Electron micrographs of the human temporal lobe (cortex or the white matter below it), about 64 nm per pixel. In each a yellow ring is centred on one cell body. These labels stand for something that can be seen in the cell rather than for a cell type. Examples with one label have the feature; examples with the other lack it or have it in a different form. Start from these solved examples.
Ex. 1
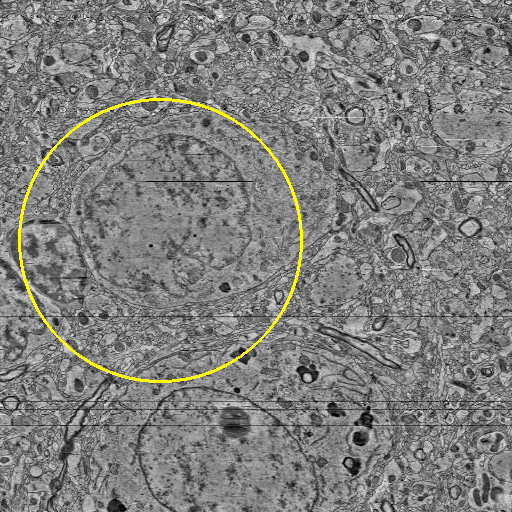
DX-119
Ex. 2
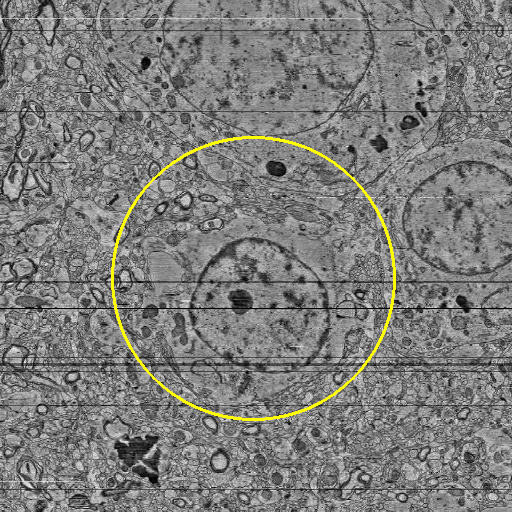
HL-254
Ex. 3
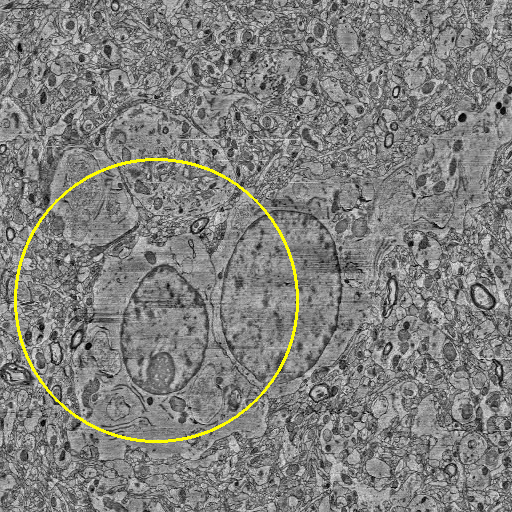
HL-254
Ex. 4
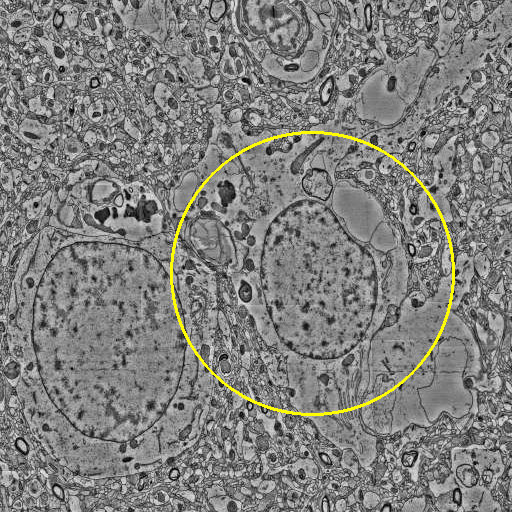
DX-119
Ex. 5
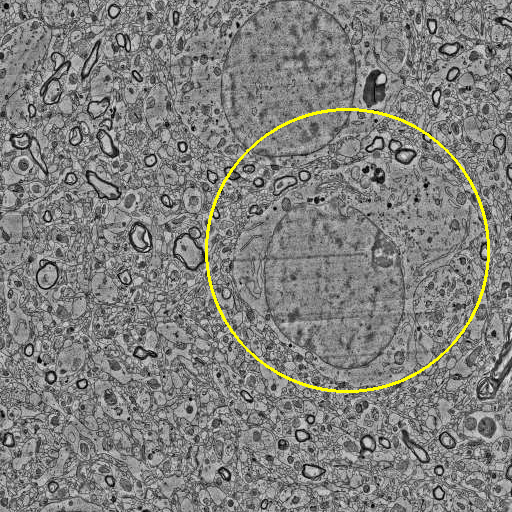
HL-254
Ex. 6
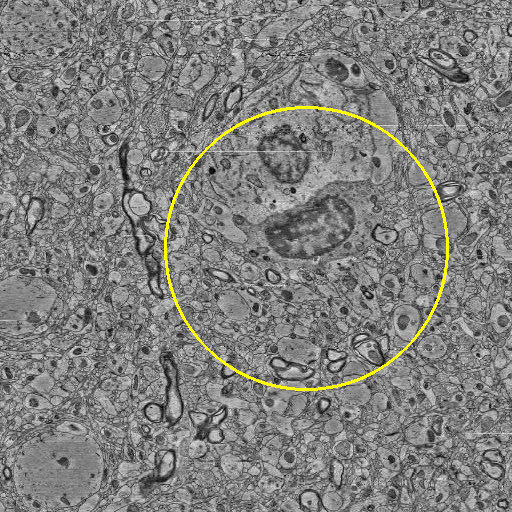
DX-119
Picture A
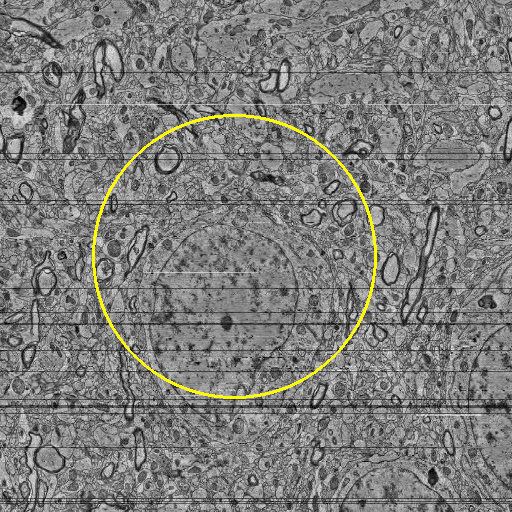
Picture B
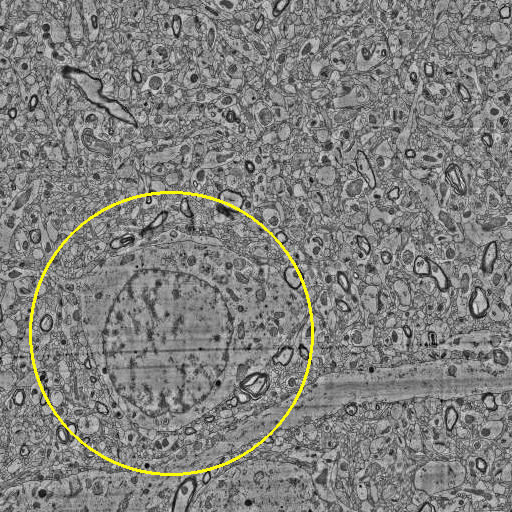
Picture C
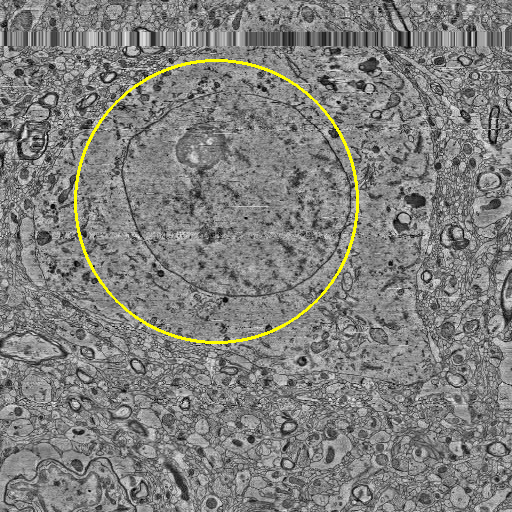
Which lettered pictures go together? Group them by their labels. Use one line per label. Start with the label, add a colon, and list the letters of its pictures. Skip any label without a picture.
DX-119: B
HL-254: A, C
